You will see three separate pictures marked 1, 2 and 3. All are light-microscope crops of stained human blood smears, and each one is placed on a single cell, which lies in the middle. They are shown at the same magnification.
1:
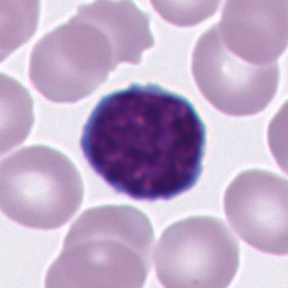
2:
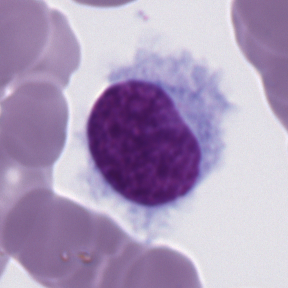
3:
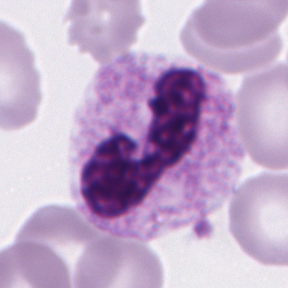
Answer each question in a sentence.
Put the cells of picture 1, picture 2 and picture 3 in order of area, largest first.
Going down, they run 3, 2, 1.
